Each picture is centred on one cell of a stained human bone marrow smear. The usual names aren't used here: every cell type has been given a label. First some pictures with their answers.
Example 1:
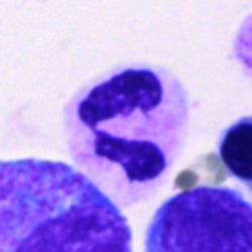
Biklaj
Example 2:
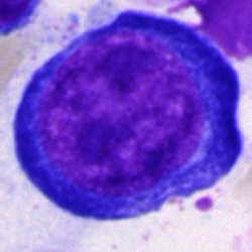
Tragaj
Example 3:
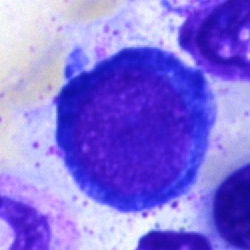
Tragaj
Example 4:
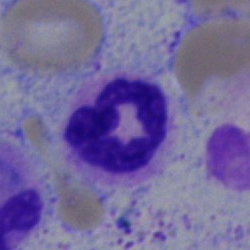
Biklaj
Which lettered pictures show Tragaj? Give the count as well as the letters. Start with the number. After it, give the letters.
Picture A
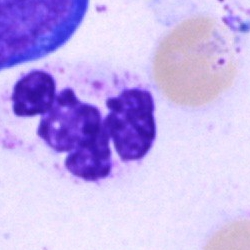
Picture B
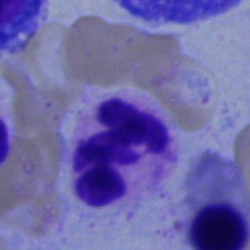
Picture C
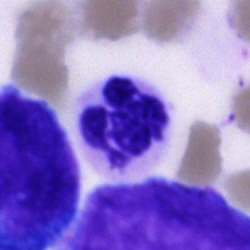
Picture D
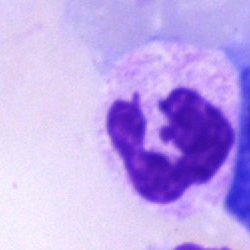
0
